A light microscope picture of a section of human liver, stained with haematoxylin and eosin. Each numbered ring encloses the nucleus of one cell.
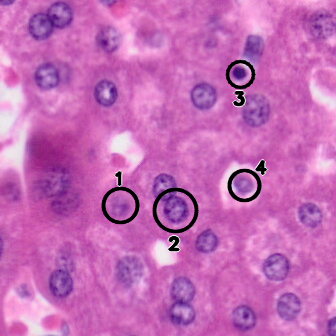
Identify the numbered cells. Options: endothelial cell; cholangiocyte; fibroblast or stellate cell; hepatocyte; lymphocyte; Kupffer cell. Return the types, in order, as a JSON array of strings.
["hepatocyte", "hepatocyte", "lymphocyte", "Kupffer cell"]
